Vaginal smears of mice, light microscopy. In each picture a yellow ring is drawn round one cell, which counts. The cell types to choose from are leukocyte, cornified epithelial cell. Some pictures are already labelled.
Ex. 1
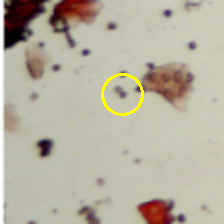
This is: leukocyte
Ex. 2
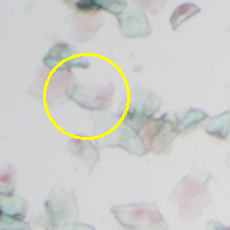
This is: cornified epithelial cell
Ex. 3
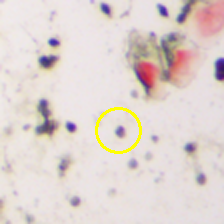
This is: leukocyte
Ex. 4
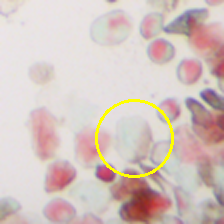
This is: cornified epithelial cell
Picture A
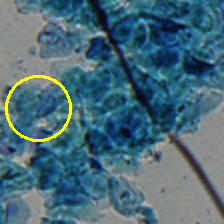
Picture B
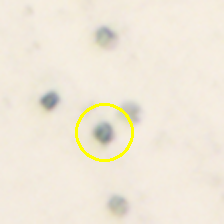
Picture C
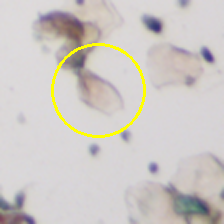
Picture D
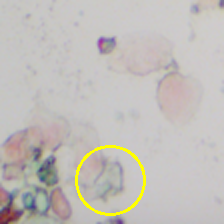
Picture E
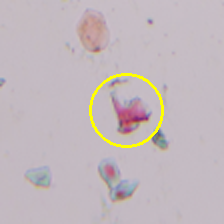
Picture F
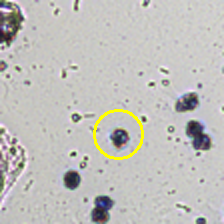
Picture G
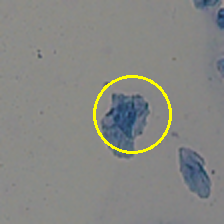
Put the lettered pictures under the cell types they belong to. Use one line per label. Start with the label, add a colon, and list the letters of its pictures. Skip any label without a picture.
leukocyte: B, F
cornified epithelial cell: A, C, D, E, G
